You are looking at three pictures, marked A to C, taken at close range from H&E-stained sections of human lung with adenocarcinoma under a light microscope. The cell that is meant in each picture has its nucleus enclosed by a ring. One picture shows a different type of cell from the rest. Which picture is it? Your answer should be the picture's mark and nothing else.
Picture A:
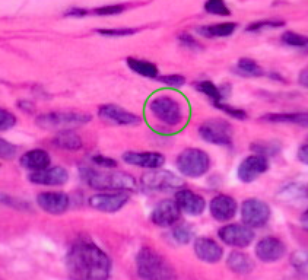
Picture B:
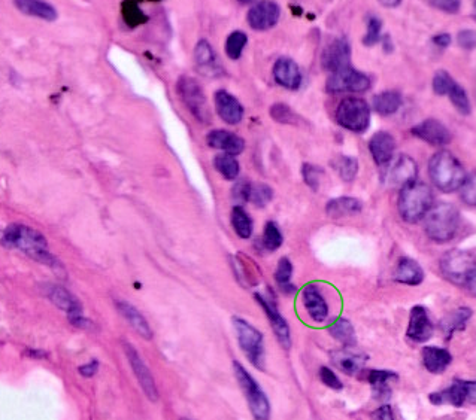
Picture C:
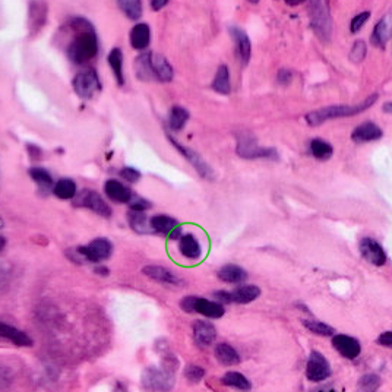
C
